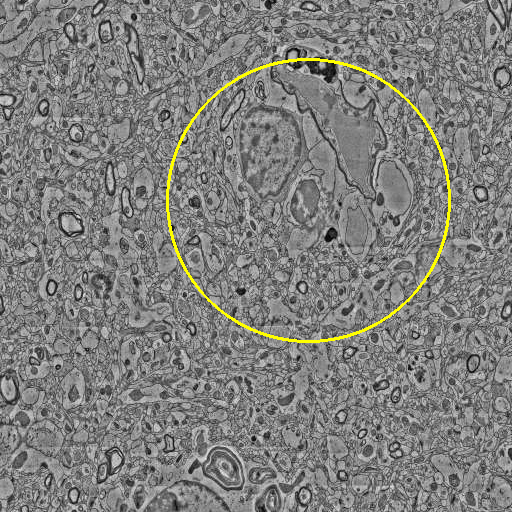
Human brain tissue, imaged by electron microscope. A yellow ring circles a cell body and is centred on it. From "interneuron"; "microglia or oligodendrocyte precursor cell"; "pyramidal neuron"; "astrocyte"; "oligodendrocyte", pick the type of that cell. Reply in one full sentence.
The cell body at the centre of the yellow ring belongs to a microglial cell or oligodendrocyte precursor cell.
